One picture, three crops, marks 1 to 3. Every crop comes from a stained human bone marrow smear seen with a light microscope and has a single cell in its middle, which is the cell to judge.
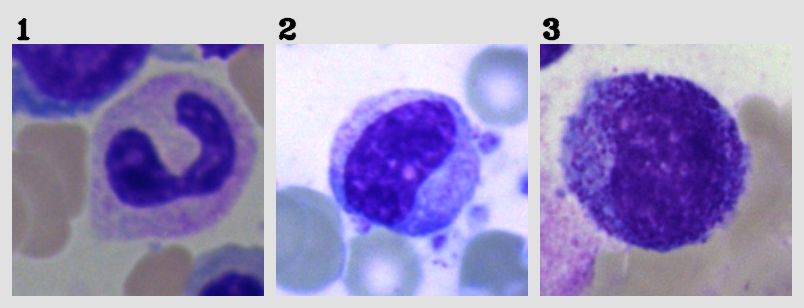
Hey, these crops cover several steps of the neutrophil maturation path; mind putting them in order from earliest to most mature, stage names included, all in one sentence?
In rising order of maturity, the crops are crop 3 (a promyelocyte), crop 2 (a metamyelocyte) and crop 1 (a segmented neutrophil).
